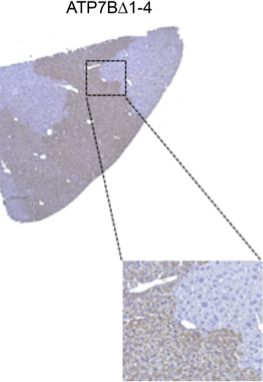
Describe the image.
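Liver section at low magnification, with large, irregular, map-like patches of hepatocytes whose cytoplasm is stained brown. These patches lie sharply bordered against regions of unstained parenchyma that show only blue nuclear counterstain. Small round vessel lumina are scattered through both stained and unstained areas. In the higher-magnification inset, brown-stained polygonal hepatocytes in plates lie beside a rounded cluster of unstained hepatocytes with pale bluish cytoplasm and round nuclei. The boundary between the two populations is abrupt.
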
